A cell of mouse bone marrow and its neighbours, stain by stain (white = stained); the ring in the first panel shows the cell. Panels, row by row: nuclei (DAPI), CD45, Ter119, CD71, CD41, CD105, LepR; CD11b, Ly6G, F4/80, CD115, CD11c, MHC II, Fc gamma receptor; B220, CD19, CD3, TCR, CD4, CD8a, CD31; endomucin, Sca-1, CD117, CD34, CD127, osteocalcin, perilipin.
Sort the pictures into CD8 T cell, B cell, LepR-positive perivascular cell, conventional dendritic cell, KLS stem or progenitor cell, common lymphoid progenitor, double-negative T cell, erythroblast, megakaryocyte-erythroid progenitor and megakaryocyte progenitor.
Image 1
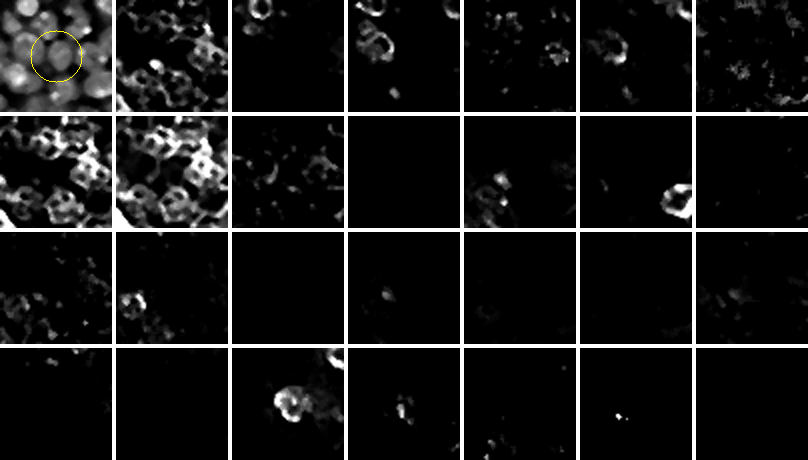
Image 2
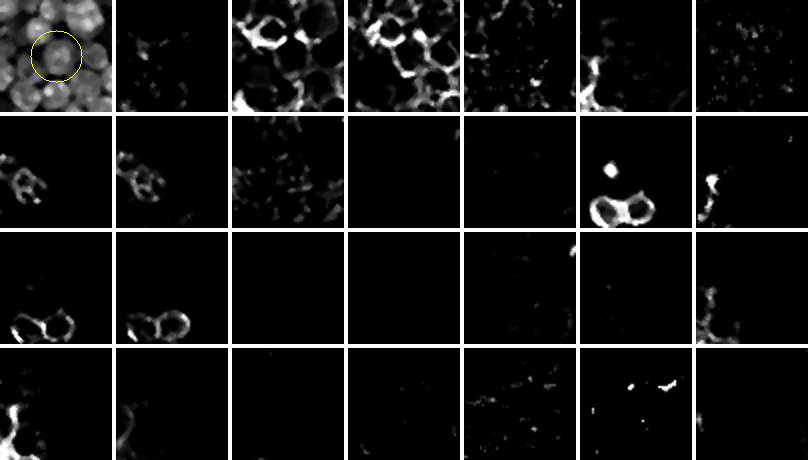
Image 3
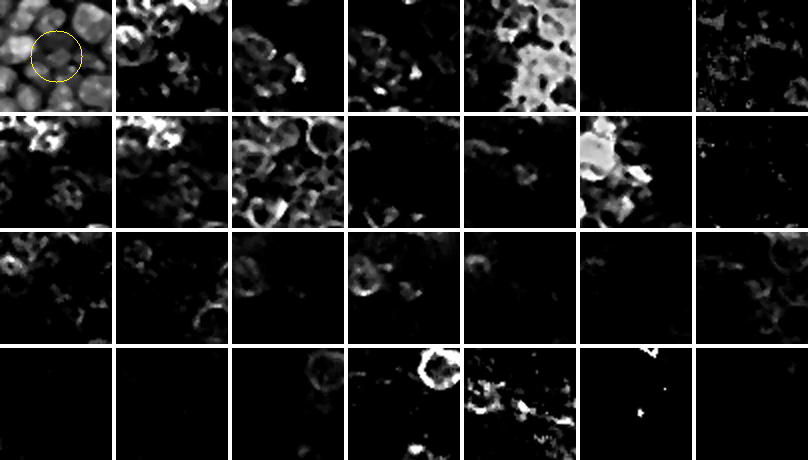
Megakaryocyte-erythroid progenitors: 1
Erythroblasts: 2
Common lymphoid progenitors: 3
